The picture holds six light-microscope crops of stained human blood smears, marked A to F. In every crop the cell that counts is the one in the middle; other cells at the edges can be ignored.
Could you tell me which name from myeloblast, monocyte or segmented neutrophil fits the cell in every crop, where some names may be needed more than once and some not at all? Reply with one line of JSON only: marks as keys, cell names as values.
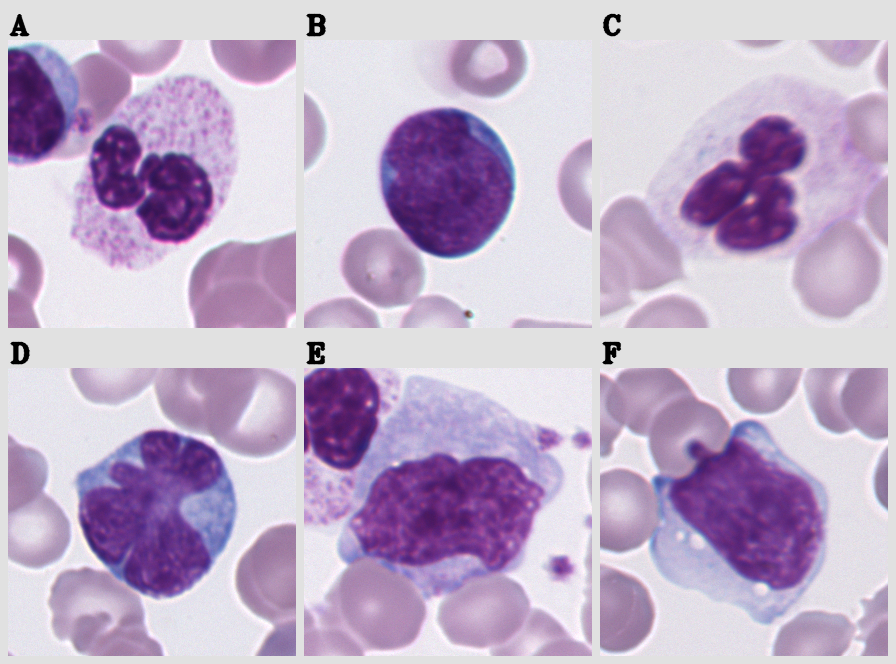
{"A": "segmented neutrophil", "B": "myeloblast", "C": "segmented neutrophil", "D": "myeloblast", "E": "monocyte", "F": "myeloblast"}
